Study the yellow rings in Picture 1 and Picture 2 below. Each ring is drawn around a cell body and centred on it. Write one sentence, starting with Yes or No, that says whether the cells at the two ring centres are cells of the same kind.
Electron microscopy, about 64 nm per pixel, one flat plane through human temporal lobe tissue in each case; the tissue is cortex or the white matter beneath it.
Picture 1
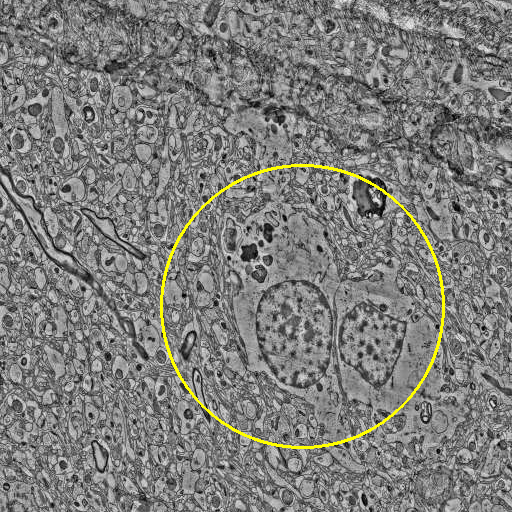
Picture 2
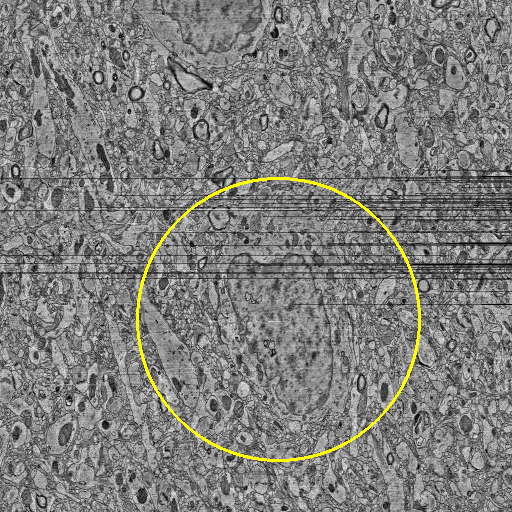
No, the cells at the ring centres are of two kinds.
